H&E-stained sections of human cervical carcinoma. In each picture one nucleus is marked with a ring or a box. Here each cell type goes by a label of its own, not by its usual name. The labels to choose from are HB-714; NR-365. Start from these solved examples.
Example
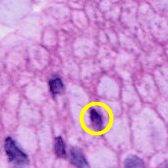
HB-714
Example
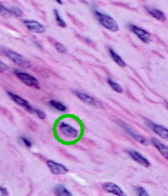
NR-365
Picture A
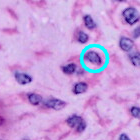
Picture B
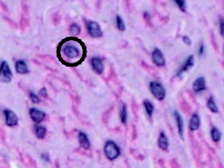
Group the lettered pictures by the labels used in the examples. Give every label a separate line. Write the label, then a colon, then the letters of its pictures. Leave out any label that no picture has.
NR-365: A, B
